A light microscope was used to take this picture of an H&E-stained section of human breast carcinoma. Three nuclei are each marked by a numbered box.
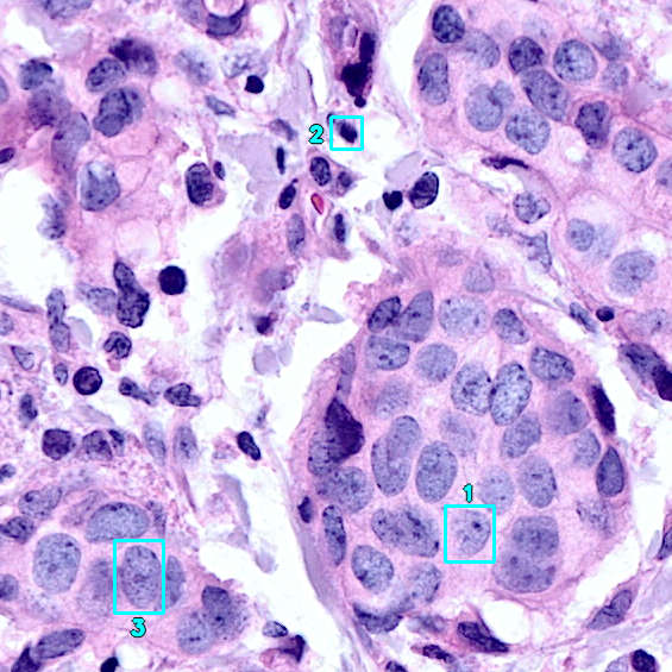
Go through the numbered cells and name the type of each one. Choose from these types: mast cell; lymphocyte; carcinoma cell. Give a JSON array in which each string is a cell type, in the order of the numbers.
["carcinoma cell", "lymphocyte", "carcinoma cell"]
